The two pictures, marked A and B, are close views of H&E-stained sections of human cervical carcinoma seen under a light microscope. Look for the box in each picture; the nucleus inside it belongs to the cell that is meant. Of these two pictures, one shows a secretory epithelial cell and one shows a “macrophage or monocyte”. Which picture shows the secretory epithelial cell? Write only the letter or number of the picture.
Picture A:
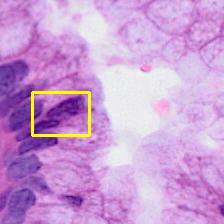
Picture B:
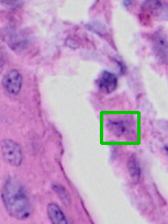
A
